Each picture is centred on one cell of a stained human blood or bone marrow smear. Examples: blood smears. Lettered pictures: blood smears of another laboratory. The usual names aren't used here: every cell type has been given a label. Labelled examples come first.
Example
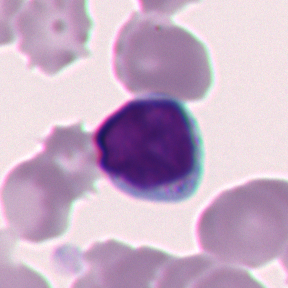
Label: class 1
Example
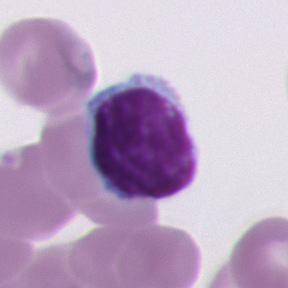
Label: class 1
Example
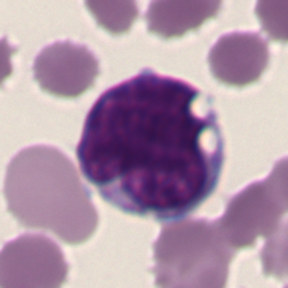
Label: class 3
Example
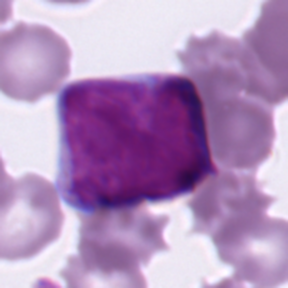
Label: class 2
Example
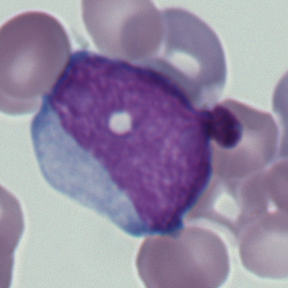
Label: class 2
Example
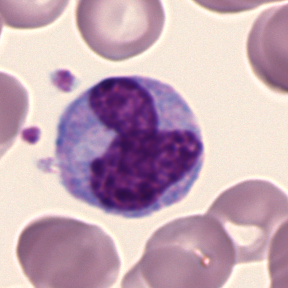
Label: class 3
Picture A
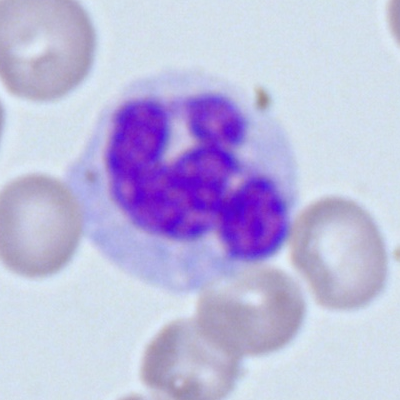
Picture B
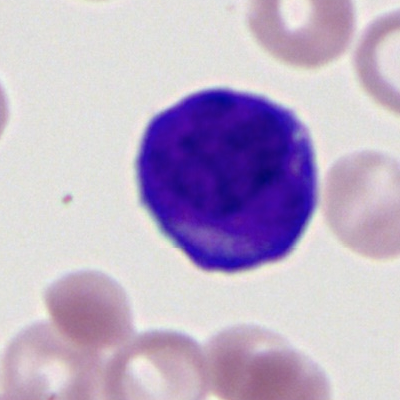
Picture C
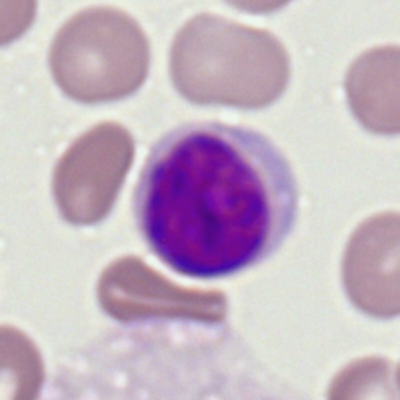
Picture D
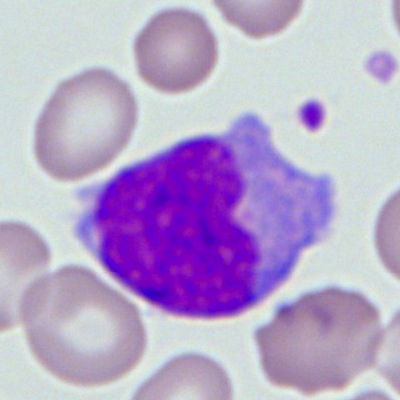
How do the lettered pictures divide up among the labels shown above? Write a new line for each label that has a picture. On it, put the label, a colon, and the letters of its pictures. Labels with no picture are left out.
class 1: C
class 3: A, D
class 2: B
